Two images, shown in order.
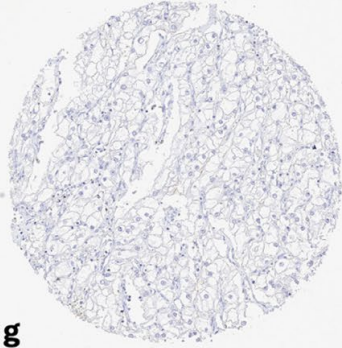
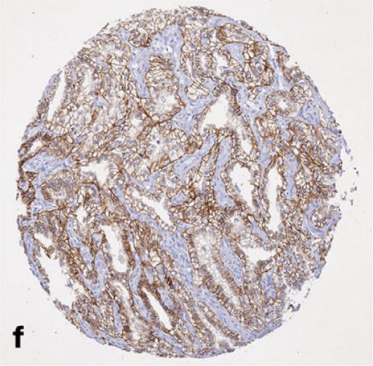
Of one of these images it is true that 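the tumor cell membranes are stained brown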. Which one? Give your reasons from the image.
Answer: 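First image: clear tumor cells show only blue counterstain, no brown. Second image: brown stain outlines the borders of the clear tumor cells.
The second image.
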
